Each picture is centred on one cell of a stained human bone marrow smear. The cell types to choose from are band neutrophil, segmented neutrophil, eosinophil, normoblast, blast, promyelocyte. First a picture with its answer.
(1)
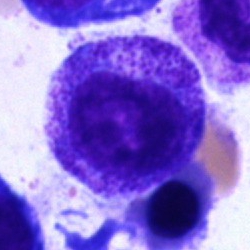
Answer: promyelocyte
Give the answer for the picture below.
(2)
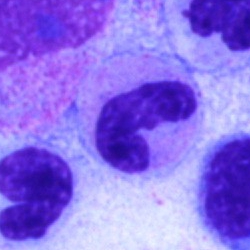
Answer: segmented neutrophil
